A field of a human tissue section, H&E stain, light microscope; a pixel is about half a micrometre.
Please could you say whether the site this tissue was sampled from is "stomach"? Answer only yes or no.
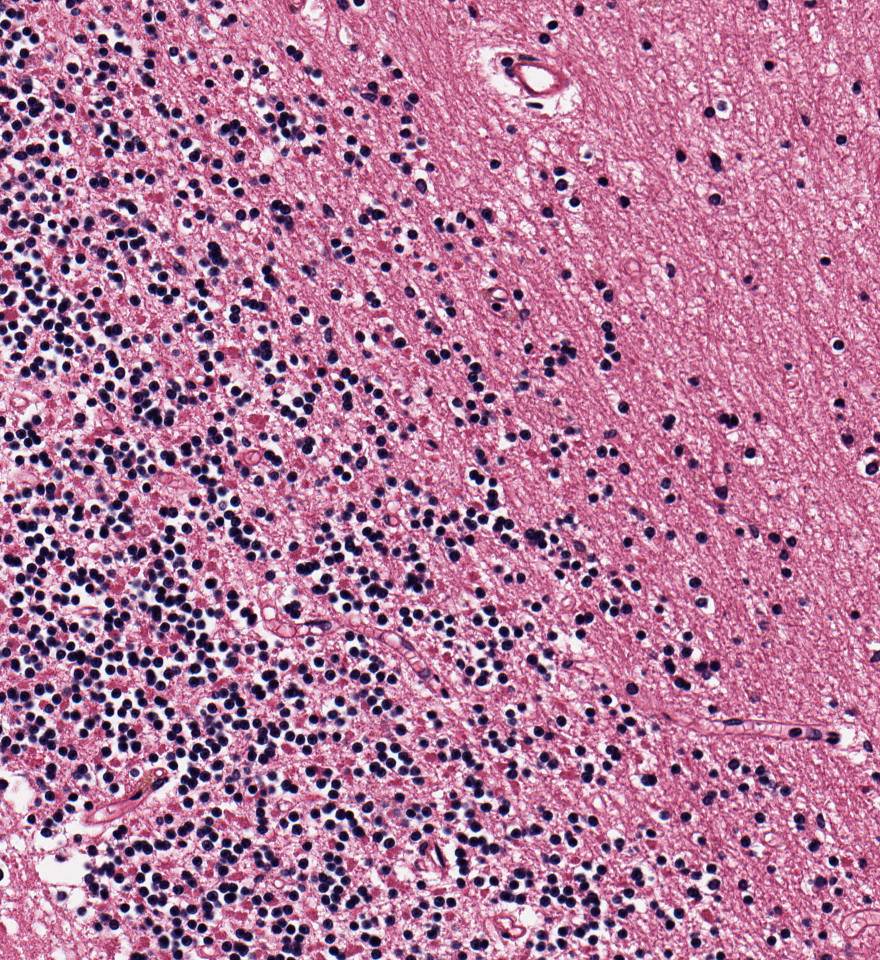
no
